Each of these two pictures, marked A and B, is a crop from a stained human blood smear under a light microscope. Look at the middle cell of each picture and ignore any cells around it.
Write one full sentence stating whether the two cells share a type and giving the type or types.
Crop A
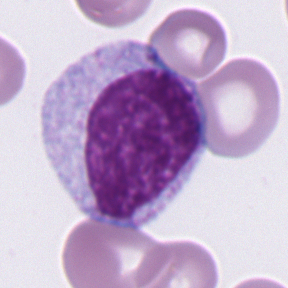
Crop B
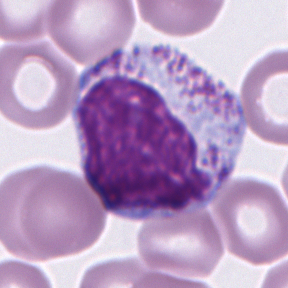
Yes, myelocytes are what the two crops show.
